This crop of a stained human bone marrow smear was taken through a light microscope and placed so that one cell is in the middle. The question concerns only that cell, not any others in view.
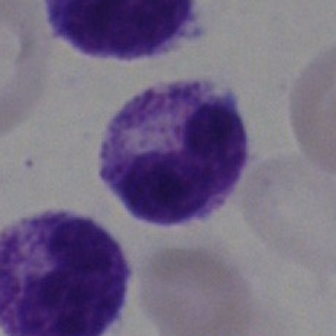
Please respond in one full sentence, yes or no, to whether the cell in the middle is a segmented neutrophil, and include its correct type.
No, the one in the center is not a segmented neutrophil; it is a band neutrophil.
